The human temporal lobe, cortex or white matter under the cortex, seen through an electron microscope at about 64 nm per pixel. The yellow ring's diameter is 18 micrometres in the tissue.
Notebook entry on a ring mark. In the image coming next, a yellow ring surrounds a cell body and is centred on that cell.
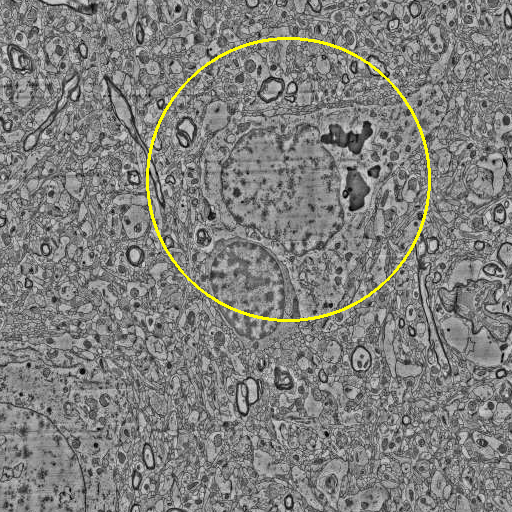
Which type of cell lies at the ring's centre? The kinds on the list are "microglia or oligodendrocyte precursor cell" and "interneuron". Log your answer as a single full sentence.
Centred in the yellow ring is an interneuron, the cell recorded for this image.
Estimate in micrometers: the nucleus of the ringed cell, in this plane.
About 8 micrometres across, as seen in this plane.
